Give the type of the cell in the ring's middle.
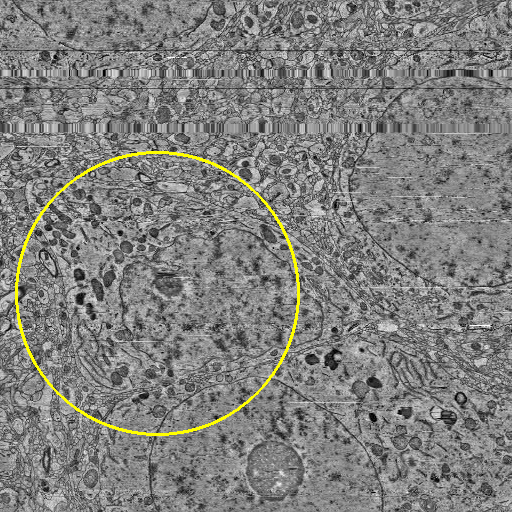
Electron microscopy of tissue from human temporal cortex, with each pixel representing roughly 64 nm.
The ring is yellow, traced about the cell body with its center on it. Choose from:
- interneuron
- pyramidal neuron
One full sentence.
Here, an interneuron is the cell lying at the center of the yellow ring.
